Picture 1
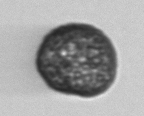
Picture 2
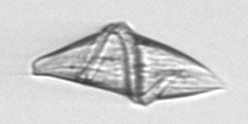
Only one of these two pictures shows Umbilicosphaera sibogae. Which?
Picture 1.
